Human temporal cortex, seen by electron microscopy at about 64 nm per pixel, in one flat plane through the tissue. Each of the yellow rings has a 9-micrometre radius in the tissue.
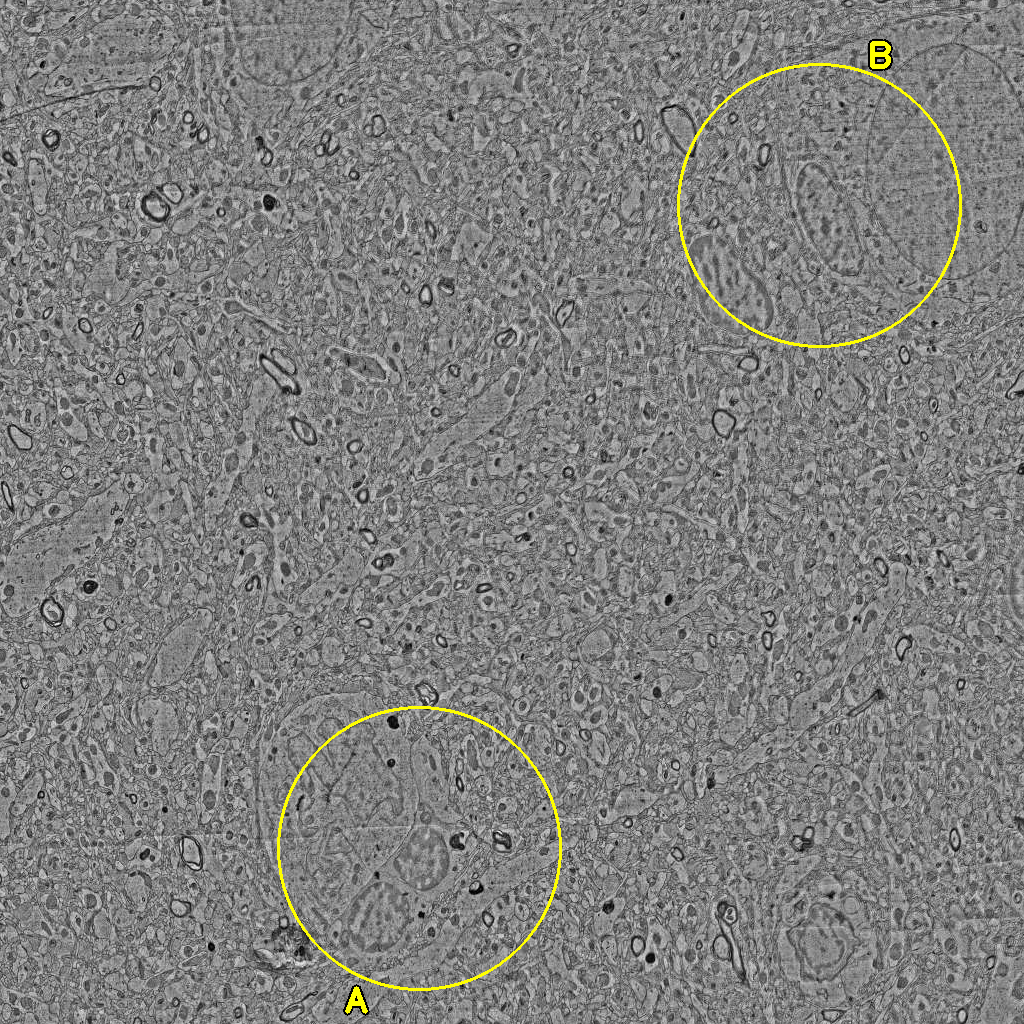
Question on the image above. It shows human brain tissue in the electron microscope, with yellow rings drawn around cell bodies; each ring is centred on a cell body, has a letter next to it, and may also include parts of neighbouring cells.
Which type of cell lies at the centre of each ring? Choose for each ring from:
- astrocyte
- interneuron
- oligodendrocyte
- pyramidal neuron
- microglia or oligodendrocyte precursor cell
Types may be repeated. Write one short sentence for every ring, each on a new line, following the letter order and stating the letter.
Ring A has been drawn around an oligodendrocyte.
Ring B has been drawn around a microglial cell or oligodendrocyte precursor cell.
